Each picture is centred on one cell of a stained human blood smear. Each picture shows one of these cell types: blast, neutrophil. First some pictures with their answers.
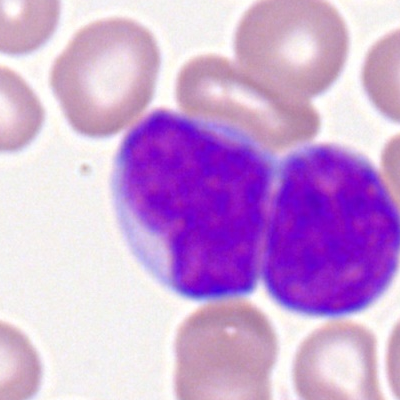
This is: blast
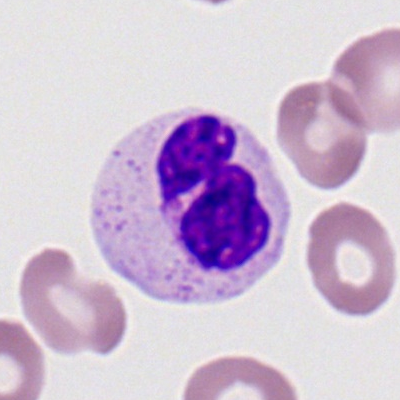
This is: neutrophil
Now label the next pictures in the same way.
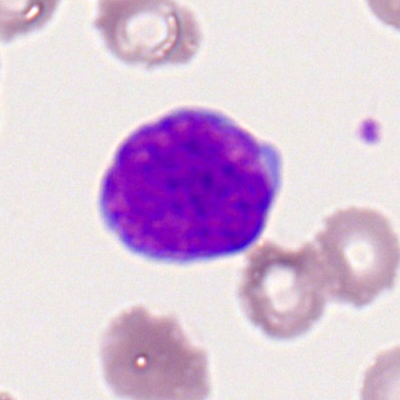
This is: blast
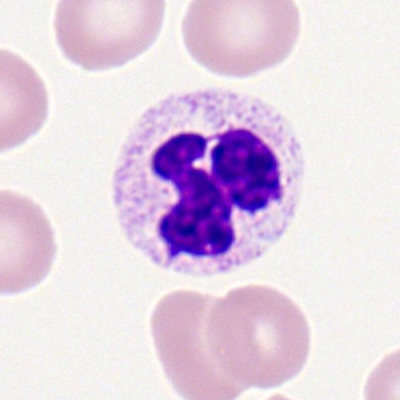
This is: neutrophil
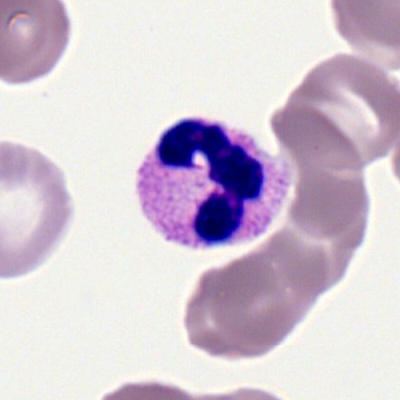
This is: neutrophil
